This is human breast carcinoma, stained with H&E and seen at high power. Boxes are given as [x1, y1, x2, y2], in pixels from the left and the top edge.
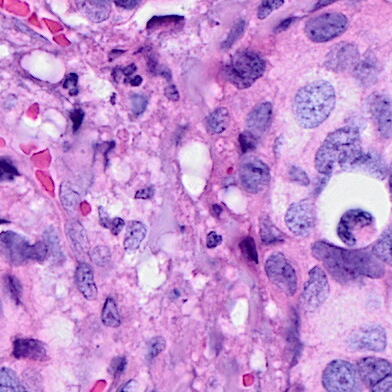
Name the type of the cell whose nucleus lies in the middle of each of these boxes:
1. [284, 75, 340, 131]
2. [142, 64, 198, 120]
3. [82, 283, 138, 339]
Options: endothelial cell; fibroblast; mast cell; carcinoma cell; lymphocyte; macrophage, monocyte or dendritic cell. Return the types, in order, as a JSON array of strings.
["carcinoma cell", "macrophage, monocyte or dendritic cell", "macrophage, monocyte or dendritic cell"]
